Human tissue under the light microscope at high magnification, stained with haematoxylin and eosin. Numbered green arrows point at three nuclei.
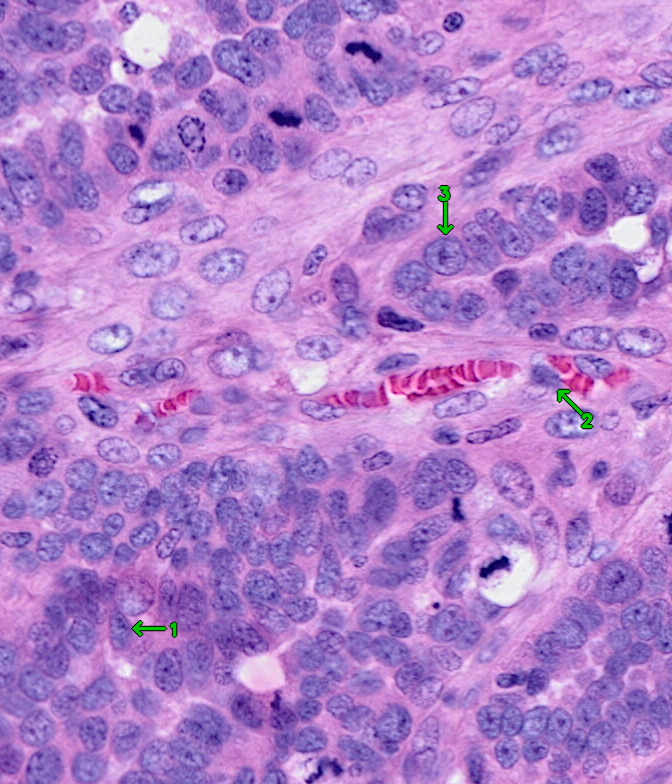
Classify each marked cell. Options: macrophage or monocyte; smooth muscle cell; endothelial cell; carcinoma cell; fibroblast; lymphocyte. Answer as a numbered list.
1. carcinoma cell
2. endothelial cell
3. carcinoma cell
